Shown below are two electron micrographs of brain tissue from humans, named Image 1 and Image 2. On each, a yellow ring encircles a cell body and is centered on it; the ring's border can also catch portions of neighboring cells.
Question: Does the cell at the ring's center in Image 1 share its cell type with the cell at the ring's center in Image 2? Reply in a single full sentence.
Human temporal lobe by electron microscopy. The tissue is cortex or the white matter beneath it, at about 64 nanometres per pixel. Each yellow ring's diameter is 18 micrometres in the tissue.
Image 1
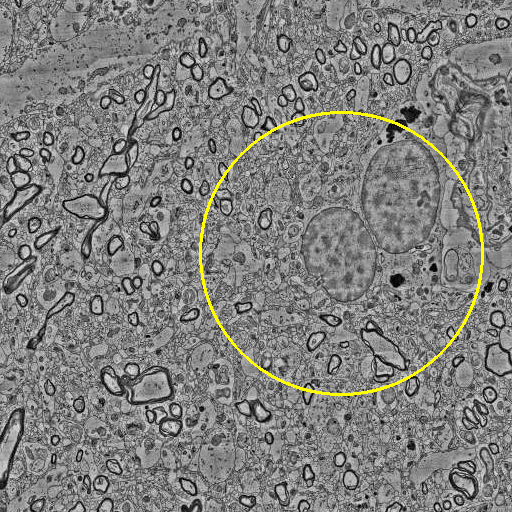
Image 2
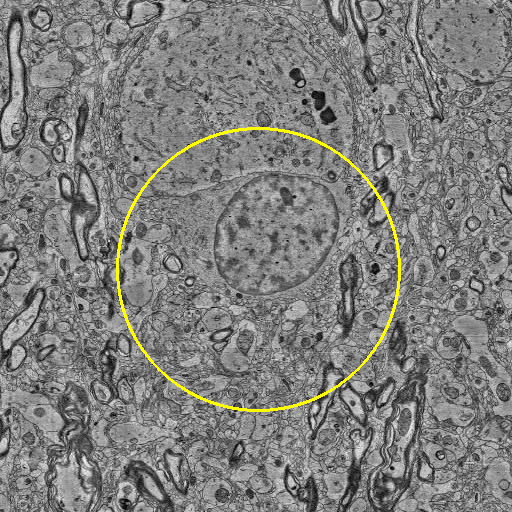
Yes, the two cells at the ring centers, in Image 1 and Image 2, share one cell type.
